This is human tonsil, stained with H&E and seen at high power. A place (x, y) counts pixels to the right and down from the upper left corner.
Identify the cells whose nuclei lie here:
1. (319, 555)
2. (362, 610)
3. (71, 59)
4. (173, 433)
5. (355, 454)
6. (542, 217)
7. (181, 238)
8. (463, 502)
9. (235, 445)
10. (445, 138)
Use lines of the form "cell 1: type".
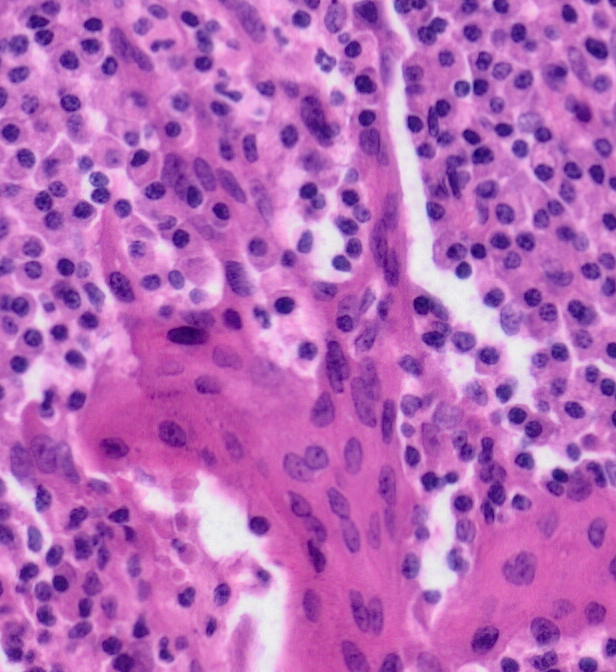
cell 1: squamous epithelial cell
cell 2: squamous epithelial cell
cell 3: plasma cell
cell 4: squamous epithelial cell
cell 5: squamous epithelial cell
cell 6: plasma cell
cell 7: plasma cell
cell 8: plasma cell
cell 9: squamous epithelial cell
cell 10: plasma cell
